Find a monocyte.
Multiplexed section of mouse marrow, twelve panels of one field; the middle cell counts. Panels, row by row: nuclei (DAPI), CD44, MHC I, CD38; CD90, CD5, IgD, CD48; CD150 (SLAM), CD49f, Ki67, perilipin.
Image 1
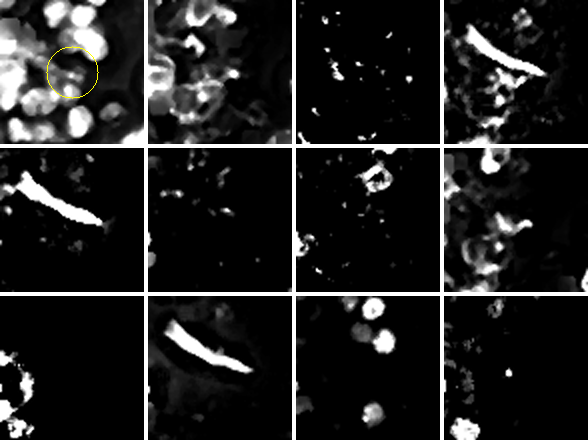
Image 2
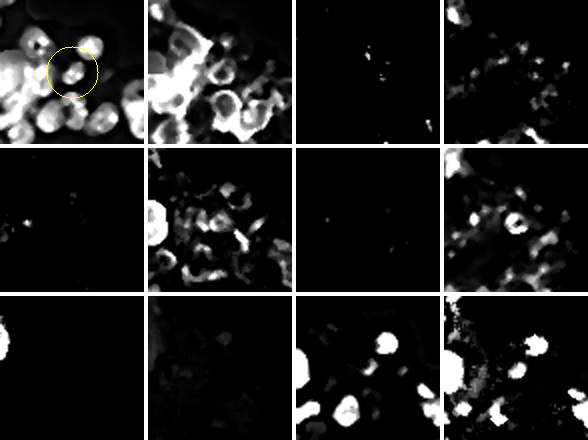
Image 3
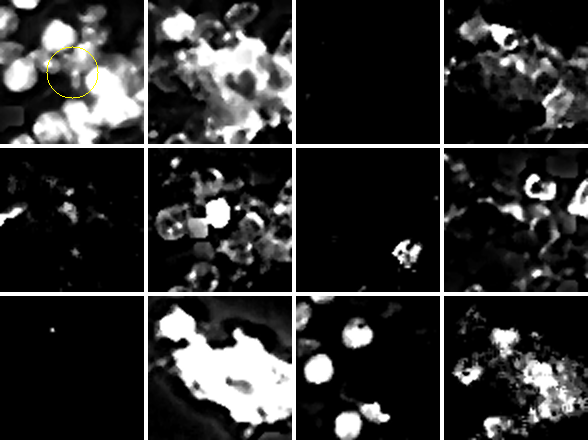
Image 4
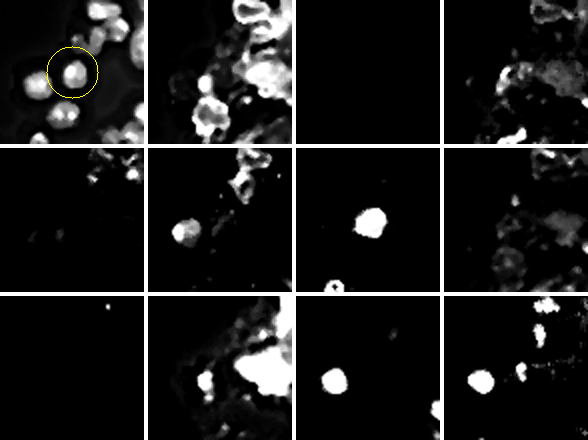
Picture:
2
